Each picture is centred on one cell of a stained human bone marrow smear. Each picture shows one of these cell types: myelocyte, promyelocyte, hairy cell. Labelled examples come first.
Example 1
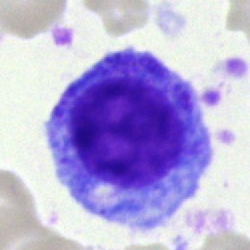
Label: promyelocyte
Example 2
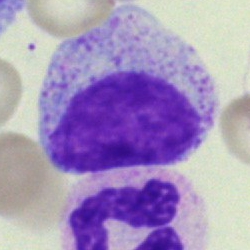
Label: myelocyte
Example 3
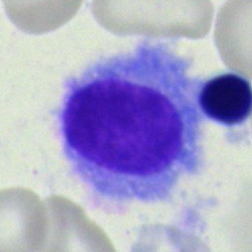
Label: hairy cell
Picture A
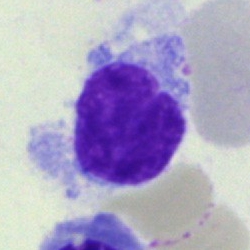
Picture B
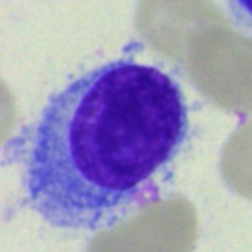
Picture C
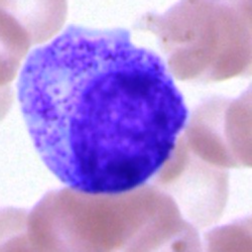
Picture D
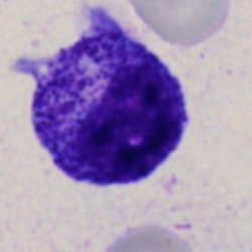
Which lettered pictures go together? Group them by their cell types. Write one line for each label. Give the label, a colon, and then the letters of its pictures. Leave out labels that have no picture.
myelocyte: C, D
hairy cell: A, B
